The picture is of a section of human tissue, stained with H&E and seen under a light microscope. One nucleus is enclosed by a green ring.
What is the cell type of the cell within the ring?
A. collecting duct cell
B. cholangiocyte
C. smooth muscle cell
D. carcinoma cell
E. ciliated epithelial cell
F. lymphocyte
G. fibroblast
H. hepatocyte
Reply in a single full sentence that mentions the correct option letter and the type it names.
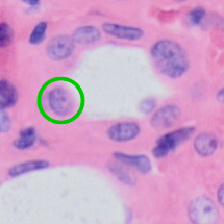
Option A is right, and the cell within the ring is a collecting duct cell.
